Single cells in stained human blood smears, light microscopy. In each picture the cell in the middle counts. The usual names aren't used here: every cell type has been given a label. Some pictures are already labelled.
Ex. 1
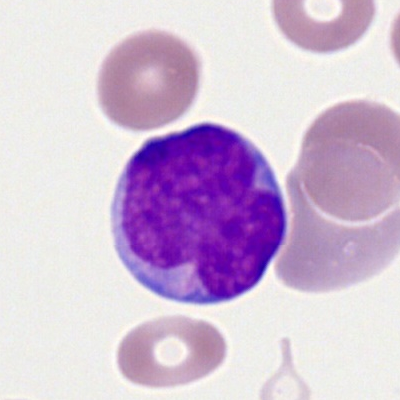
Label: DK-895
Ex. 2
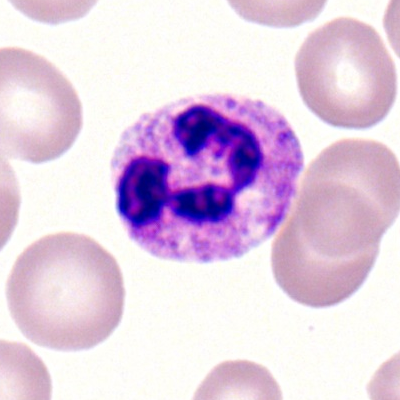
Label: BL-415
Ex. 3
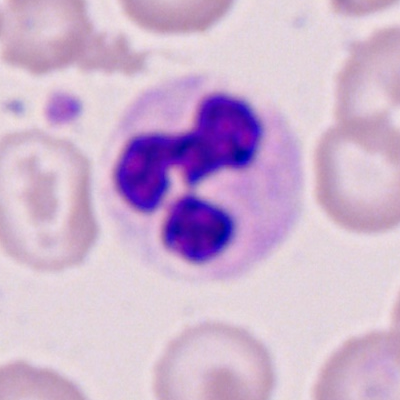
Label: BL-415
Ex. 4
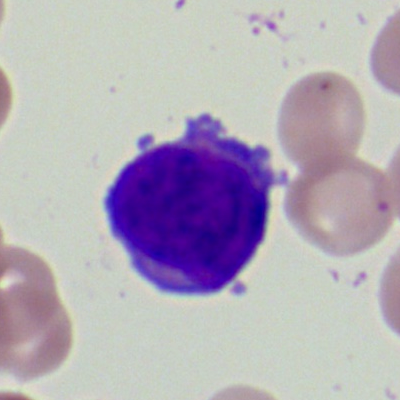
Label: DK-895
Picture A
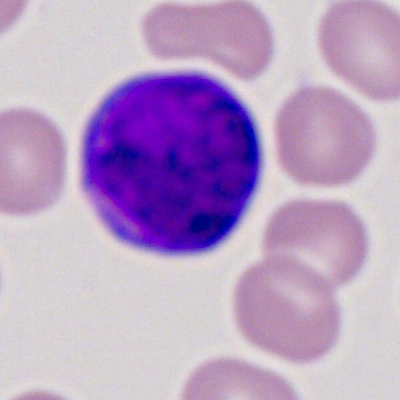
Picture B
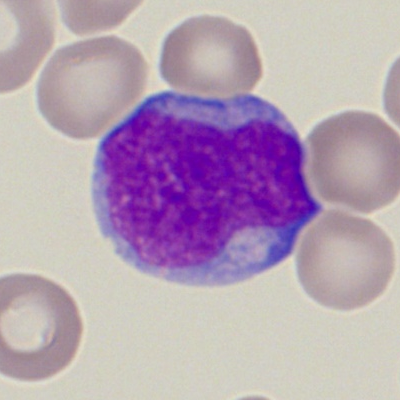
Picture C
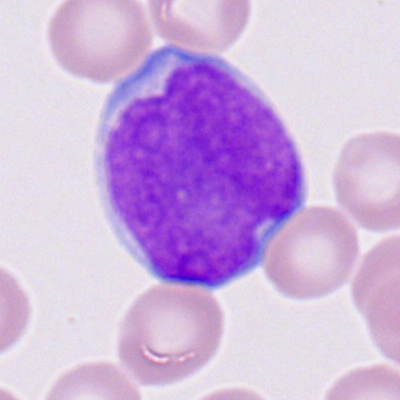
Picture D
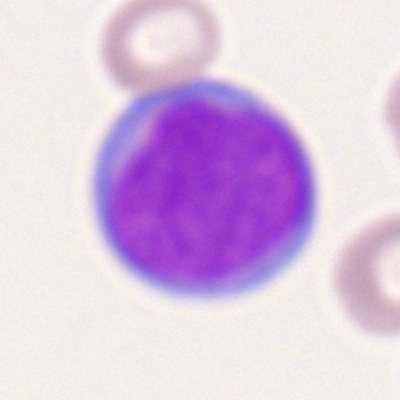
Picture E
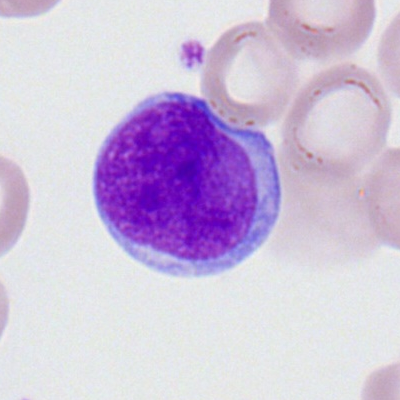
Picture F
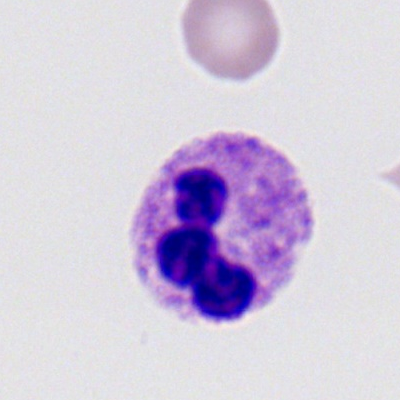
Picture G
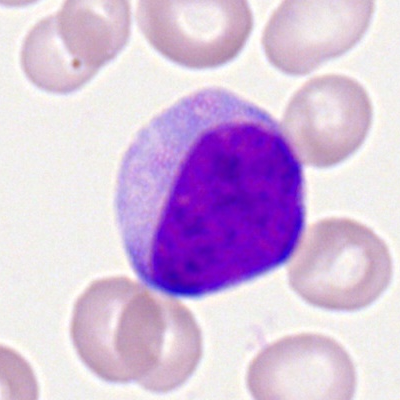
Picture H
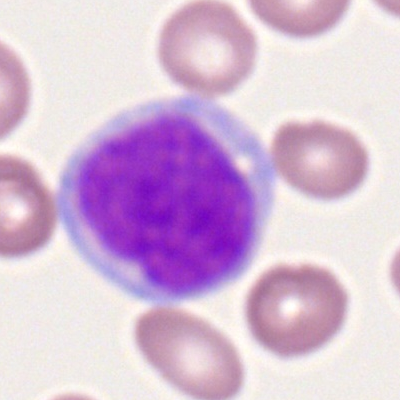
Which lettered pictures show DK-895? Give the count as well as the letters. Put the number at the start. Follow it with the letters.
Count: 7 (A, B, C, D, E, G, H)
